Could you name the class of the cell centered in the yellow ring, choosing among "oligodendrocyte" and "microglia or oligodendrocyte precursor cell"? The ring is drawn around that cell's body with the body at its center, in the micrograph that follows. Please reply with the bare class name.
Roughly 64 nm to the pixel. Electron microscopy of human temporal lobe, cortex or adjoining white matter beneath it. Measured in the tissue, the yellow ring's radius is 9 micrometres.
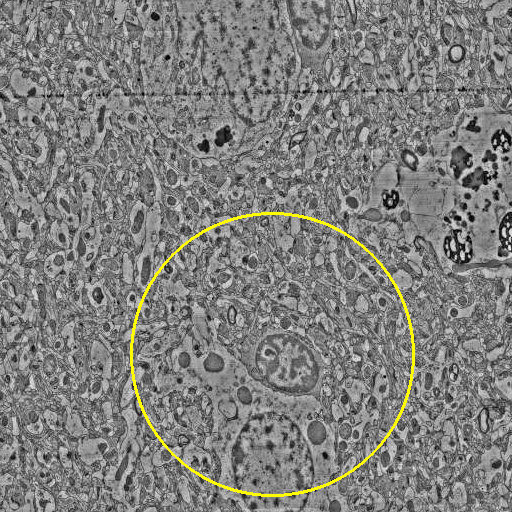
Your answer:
oligodendrocyte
